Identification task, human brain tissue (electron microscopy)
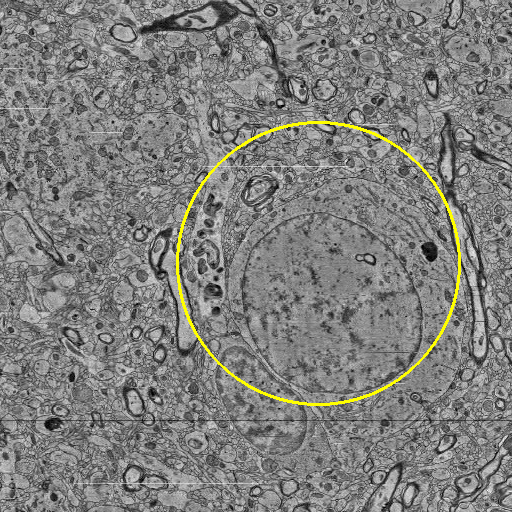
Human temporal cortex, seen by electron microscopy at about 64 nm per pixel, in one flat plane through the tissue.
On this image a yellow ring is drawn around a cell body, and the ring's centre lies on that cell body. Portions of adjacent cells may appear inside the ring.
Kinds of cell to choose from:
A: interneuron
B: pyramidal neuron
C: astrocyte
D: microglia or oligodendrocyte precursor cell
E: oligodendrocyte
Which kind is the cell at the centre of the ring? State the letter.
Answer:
B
